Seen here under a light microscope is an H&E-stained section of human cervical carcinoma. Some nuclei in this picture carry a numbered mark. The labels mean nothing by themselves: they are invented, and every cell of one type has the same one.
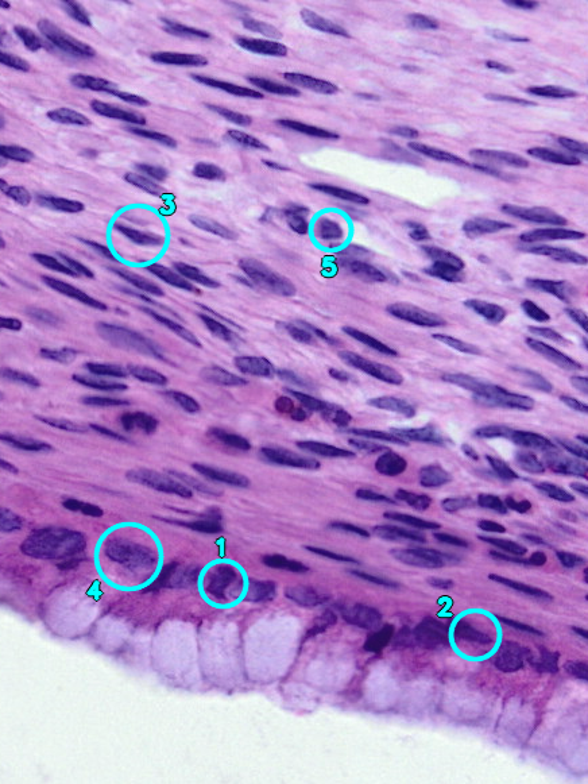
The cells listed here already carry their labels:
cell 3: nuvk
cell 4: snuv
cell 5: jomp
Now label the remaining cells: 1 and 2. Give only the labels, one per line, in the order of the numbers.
snuv
snuv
